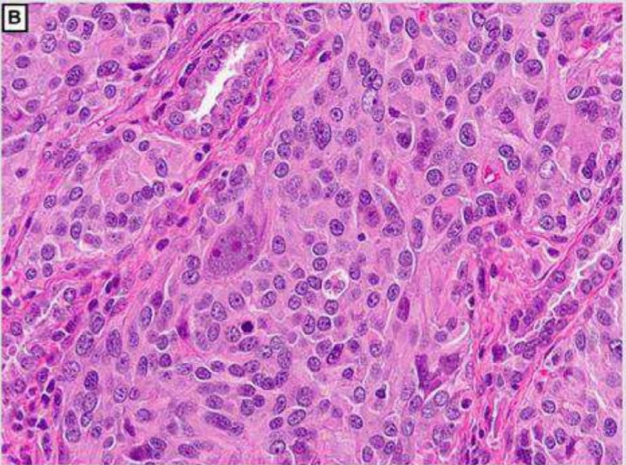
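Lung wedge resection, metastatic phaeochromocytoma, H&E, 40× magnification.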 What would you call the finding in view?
Marked anisonucleosis and bizarre cells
